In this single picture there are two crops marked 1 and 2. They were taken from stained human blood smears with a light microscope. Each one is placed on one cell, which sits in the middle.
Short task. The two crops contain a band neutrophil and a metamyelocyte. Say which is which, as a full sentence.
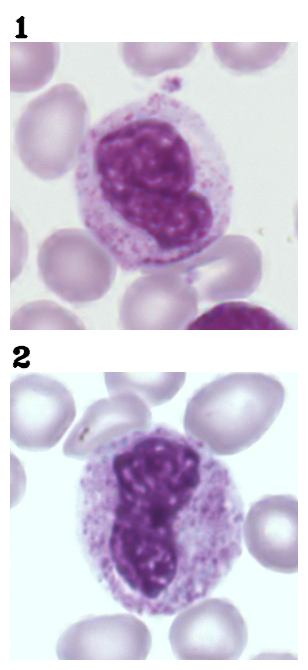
Within crop 1 sits a band neutrophil, and within crop 2 sits a metamyelocyte.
